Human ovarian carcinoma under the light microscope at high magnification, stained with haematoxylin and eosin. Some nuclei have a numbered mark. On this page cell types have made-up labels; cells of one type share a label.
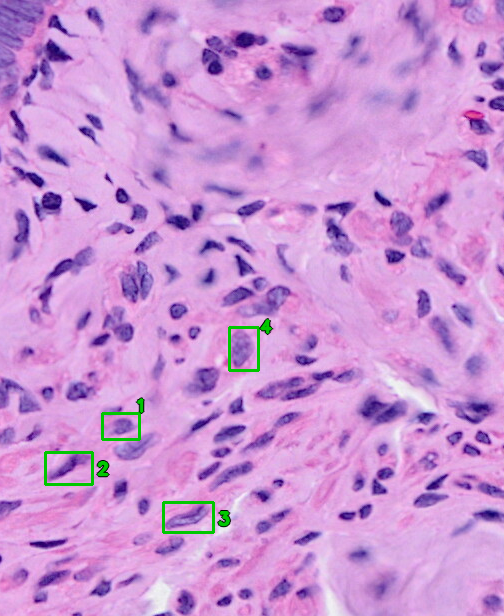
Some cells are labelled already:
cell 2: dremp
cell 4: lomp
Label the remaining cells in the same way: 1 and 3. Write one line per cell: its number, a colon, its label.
1: dremp
3: dremp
